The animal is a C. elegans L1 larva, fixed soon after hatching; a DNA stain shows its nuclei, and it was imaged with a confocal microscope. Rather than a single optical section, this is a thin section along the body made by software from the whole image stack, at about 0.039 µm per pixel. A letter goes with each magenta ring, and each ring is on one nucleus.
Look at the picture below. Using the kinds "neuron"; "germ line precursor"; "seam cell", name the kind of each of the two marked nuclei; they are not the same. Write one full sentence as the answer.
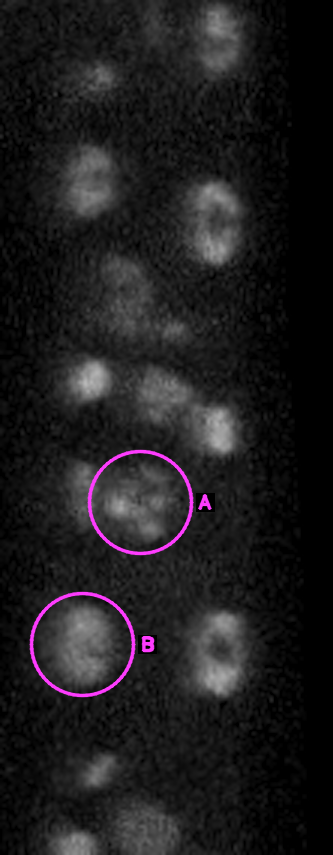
A is in a germ line precursor and B is in a seam cell.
